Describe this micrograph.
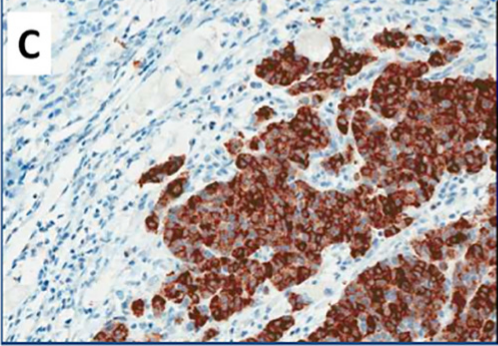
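Large confluent sheets and smaller irregular nests of closely packed cells occupy the right and lower part of the field, their cytoplasm deep brown and their nuclei round to oval. The nests are separated by bands of fibrous stroma containing elongated spindle-shaped cells with blue nuclei and no brown staining. At the upper left a few pale empty spaces lie in the stroma. The boundary between stained nests and unstained stroma is sharp, and small detached clusters of brown cells sit at the edges of the larger nests.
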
